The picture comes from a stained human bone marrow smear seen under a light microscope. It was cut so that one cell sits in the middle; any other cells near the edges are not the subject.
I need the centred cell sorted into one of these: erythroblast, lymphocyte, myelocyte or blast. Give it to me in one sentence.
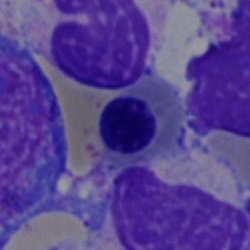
Seen at the centre of the crop is an erythroblast.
